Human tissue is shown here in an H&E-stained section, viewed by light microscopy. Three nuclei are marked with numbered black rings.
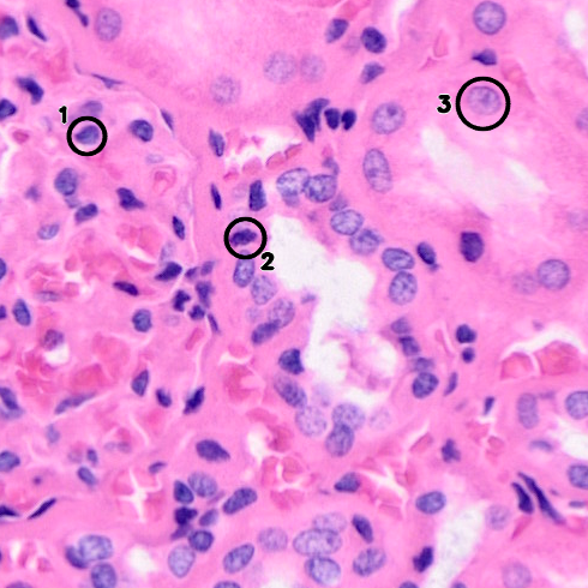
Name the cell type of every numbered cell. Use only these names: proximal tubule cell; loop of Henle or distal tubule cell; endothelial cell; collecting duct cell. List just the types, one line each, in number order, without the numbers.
endothelial cell
collecting duct cell
proximal tubule cell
